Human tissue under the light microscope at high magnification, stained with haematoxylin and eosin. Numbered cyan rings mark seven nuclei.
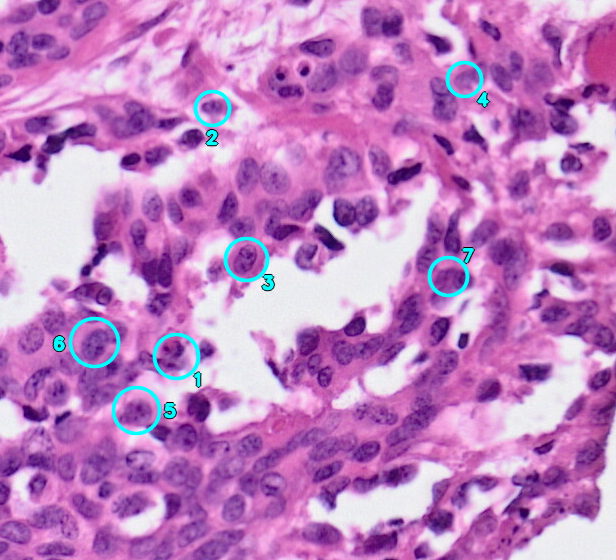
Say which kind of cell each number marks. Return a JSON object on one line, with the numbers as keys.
{"1": "macrophage or monocyte", "2": "macrophage or monocyte", "3": "macrophage or monocyte", "4": "carcinoma cell", "5": "carcinoma cell", "6": "carcinoma cell", "7": "carcinoma cell"}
